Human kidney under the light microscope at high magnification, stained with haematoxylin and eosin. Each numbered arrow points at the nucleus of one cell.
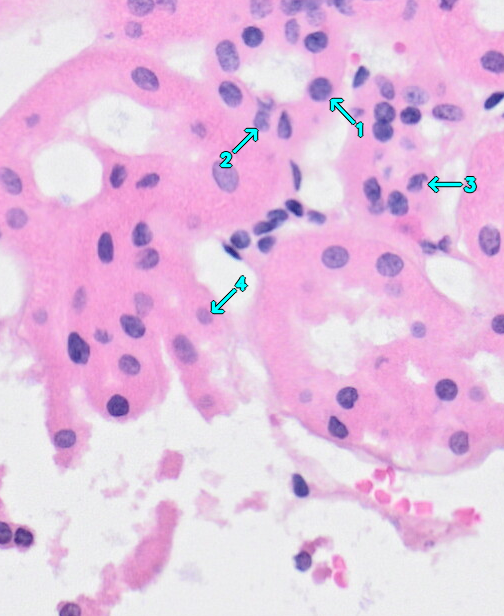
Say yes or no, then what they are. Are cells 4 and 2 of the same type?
No, in contrast to cell 2, which is a collecting duct cell, cell 4 is a proximal tubule cell.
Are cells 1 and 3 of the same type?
Yes, the pair formed by cells 1 and 3 consists of two collecting duct cells.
